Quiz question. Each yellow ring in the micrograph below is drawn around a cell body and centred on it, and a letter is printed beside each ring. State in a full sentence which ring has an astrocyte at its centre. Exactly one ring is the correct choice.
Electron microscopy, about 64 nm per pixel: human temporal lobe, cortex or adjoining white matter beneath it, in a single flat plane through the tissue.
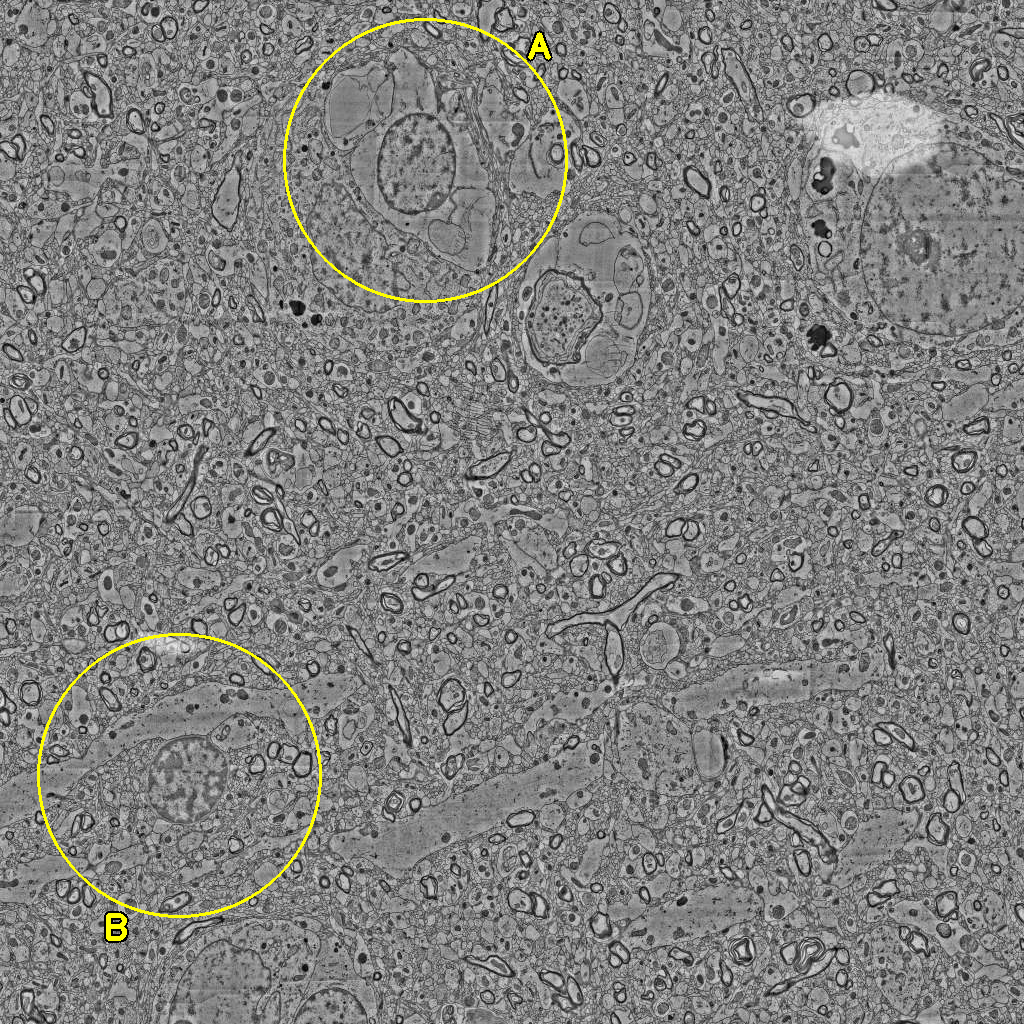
The correct ring is ring A.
